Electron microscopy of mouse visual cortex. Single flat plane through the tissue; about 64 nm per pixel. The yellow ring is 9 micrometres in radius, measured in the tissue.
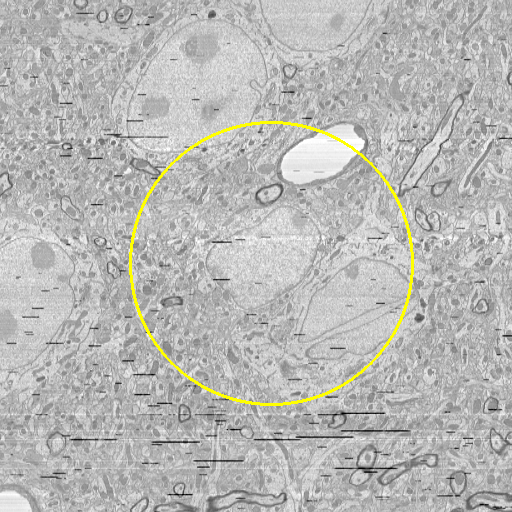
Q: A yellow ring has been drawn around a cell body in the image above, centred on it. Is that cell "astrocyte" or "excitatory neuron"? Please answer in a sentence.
The ring surrounds the cell body of an astrocyte.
